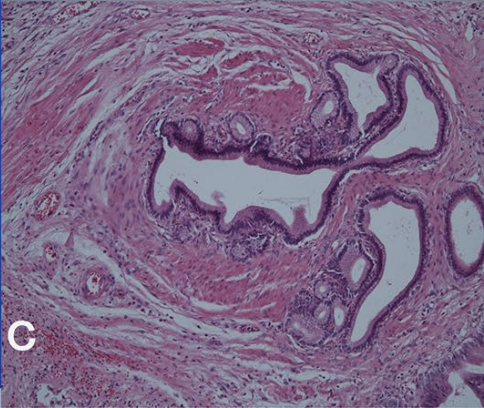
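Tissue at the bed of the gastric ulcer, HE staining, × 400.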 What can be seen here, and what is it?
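A glandular structure resembling a bile duct sits within pink fibromuscular tissue. Its central lumen is irregular and branching, empty and pale, and lined by a single layer of epithelial cells whose dark purple nuclei sit in a row along the base. Beside the main lumen lie several smaller rounded glands and clustered gland units, also lined by similar epithelium. The surrounding stroma is arranged in roughly concentric pink bundles of elongated cells with spindle-shaped nuclei, wrapping around the duct and glands. Small vessels are scattered in the stroma at the edges of the field.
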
